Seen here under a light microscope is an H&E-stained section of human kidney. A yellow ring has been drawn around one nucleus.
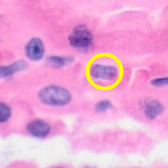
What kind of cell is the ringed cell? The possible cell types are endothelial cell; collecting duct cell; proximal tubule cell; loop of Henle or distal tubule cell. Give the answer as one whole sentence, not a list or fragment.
Within the stained tissue, the ringed cell is an endothelial cell.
